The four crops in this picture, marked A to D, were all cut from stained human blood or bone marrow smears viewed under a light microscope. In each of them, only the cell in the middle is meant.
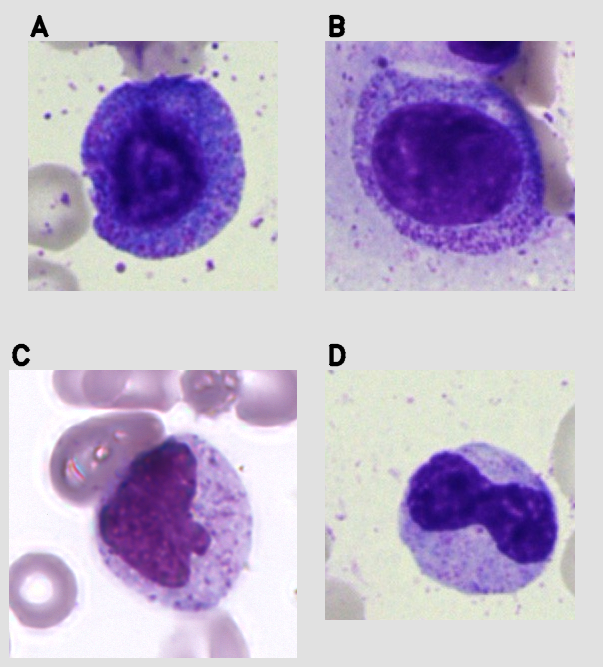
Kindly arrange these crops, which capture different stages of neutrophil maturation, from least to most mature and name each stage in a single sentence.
From the earliest stage to the most mature one, the order is crop A (a promyelocyte), crop B (a myelocyte), crop C (a metamyelocyte) and crop D (a band neutrophil).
